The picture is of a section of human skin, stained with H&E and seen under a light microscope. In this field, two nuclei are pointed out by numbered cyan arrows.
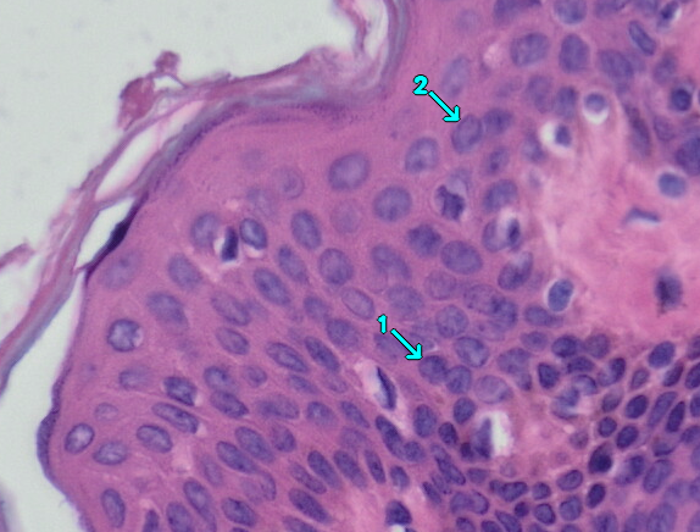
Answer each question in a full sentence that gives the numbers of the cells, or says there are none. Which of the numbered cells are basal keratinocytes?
Exactly one of the numbered cells is a basal keratinocyte, namely cell 1.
